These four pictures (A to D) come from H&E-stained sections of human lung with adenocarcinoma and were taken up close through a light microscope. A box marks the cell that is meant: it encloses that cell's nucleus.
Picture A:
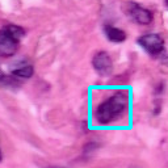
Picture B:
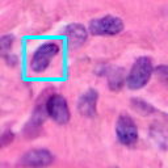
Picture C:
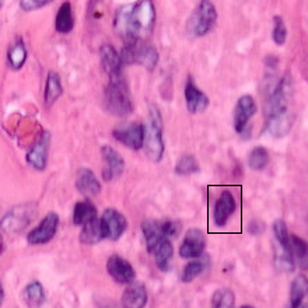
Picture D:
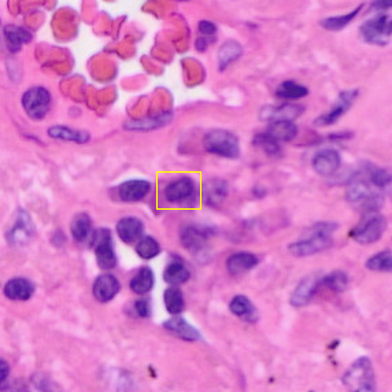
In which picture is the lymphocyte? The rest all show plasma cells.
B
